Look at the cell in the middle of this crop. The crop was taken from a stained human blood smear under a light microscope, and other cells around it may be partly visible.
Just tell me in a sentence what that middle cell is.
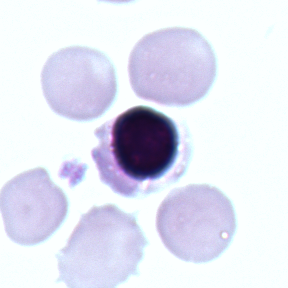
The cell at the central position in this crop is a normoblast.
